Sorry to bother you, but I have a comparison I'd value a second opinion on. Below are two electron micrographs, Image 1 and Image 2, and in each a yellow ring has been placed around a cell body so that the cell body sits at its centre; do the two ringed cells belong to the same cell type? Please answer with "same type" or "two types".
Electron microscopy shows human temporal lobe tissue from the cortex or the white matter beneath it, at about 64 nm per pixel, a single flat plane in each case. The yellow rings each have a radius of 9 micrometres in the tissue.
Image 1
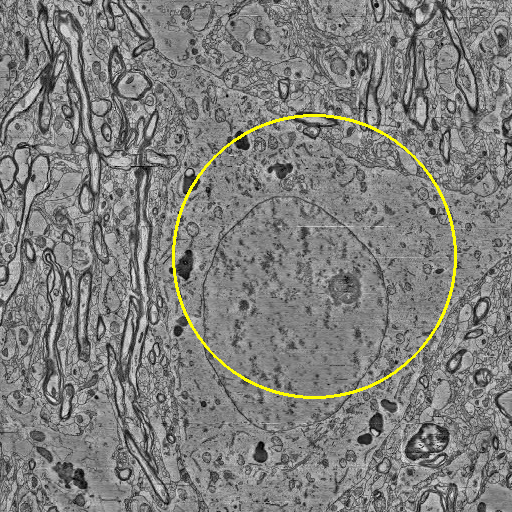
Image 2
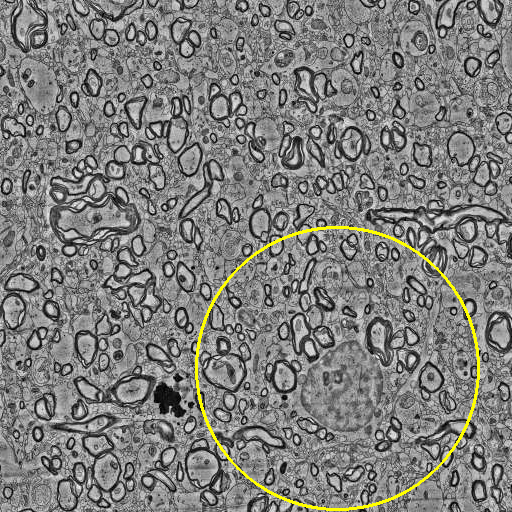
two types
